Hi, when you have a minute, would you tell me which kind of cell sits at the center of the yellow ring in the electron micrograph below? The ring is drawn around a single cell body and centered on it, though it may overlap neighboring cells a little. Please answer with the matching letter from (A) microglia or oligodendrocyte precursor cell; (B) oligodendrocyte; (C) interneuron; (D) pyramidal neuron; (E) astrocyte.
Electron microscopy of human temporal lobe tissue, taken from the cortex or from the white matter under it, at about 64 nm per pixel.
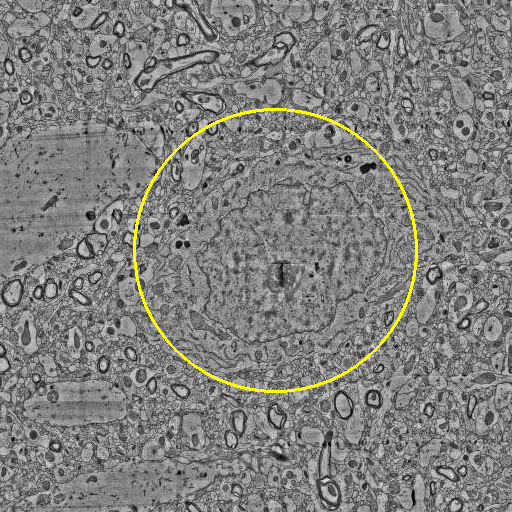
C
